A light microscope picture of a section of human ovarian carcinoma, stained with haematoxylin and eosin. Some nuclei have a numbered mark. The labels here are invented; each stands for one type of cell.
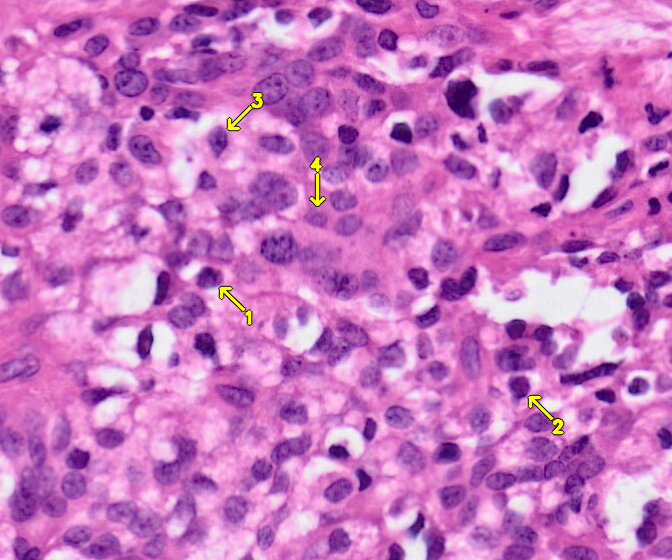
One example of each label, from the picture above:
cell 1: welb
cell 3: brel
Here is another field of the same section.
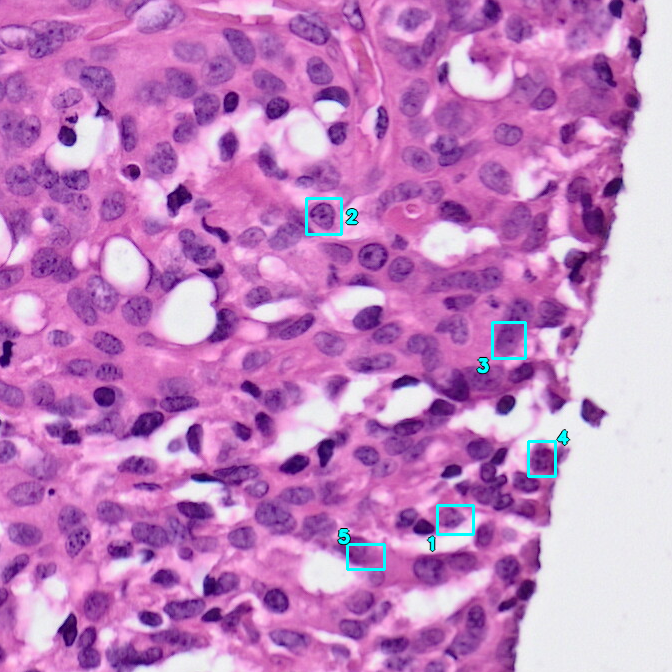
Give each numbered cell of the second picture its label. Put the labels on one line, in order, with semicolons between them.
brel; brel; welb; brel; welb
